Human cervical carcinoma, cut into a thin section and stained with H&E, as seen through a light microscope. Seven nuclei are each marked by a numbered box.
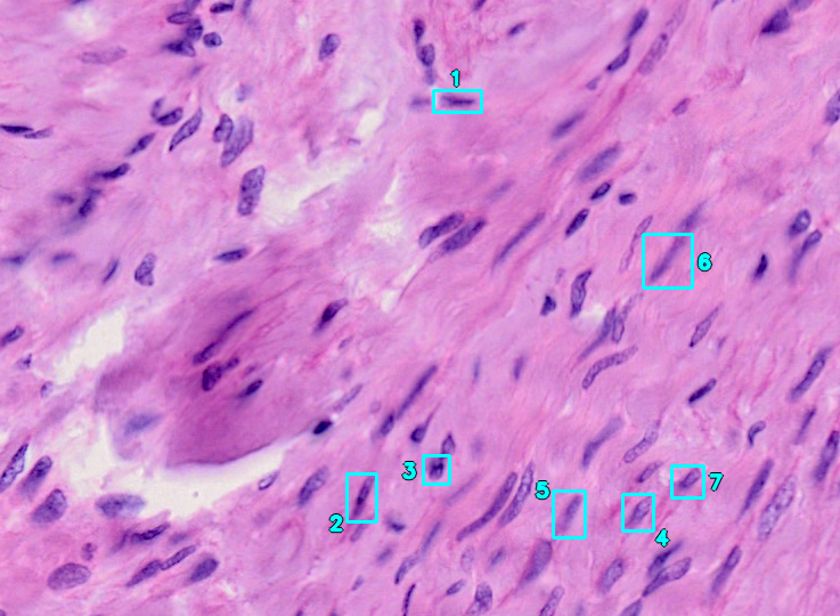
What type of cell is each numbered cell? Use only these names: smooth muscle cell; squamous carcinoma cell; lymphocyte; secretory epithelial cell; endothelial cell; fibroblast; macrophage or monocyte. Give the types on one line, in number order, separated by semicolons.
fibroblast; fibroblast; fibroblast; smooth muscle cell; smooth muscle cell; fibroblast; smooth muscle cell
